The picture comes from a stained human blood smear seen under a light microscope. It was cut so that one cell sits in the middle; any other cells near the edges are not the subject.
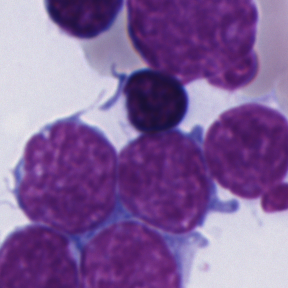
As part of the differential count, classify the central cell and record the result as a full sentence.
Here the cell in the middle is a myeloblast.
